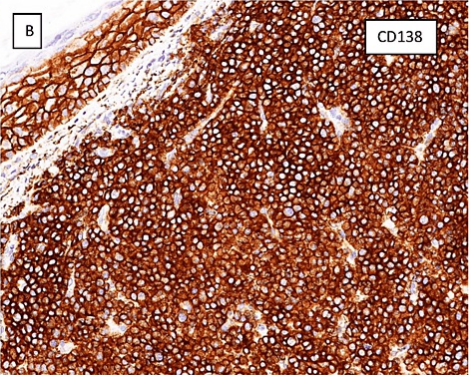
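A sheet of closely packed round cells is outlined everywhere by brown membrane staining, their nuclei showing as pale round holes in a honeycomb pattern. At the upper left a band of paler stroma and overlying surface tissue borders the sheet, and thin unstained vessels run through it. These are the atypical plasma cells of the tumour.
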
